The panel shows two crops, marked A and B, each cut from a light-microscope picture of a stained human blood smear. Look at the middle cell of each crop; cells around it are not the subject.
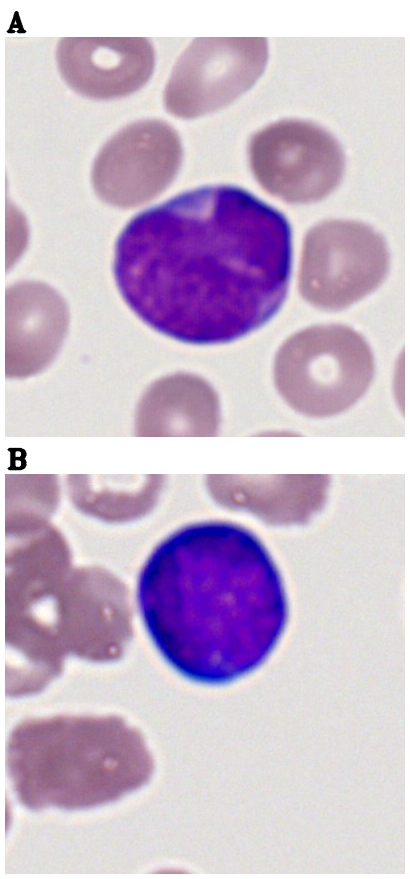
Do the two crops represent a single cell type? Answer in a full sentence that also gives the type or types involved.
Yes, both crops show myeloblasts, the one and the other.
